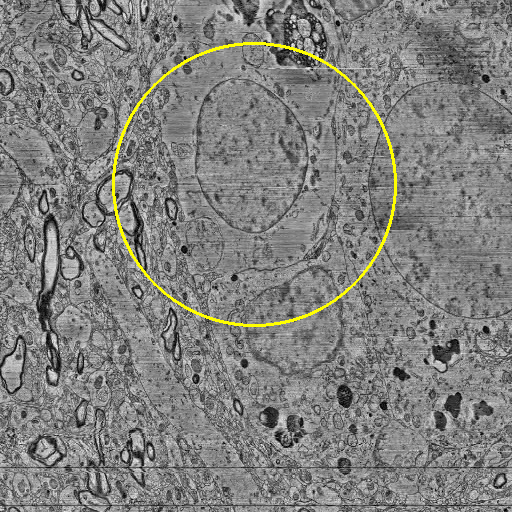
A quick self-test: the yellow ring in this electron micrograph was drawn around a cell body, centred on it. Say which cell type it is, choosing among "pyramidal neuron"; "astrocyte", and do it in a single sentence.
The yellow-ringed cell is an astrocyte.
